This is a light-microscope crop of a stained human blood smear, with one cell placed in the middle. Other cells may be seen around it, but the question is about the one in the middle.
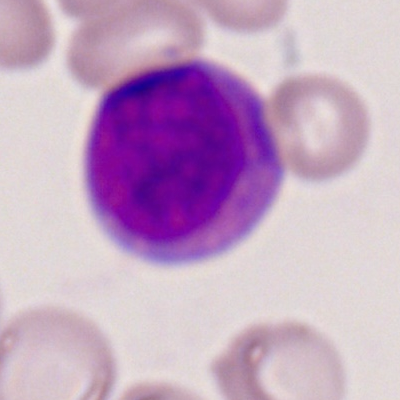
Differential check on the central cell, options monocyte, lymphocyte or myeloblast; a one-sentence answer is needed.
Seen at the centre of the crop is a myeloblast.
